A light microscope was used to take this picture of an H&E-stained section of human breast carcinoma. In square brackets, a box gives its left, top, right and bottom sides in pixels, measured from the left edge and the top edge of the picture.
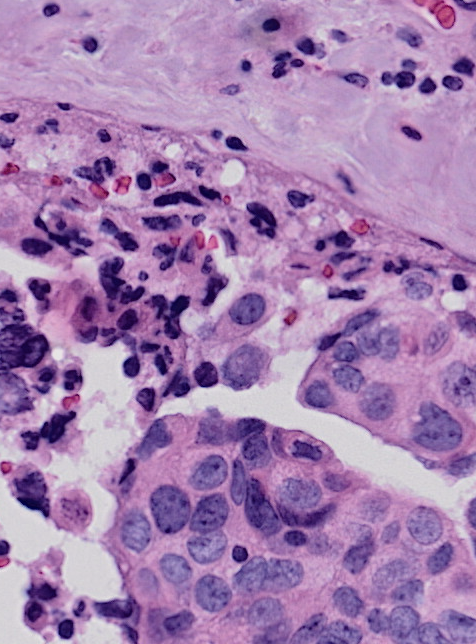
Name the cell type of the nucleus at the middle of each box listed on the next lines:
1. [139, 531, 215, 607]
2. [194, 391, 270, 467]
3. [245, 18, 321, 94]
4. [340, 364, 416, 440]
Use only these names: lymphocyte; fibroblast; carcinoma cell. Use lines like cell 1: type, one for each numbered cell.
cell 1: carcinoma cell
cell 2: carcinoma cell
cell 3: lymphocyte
cell 4: carcinoma cell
